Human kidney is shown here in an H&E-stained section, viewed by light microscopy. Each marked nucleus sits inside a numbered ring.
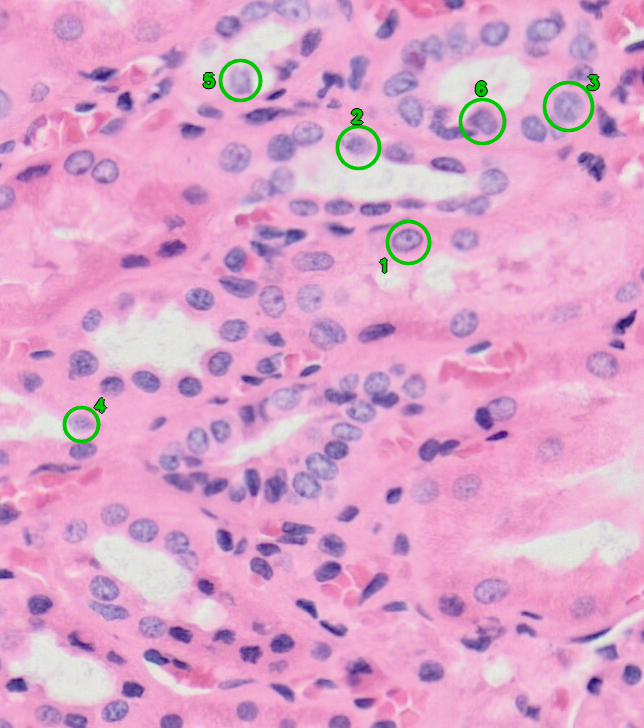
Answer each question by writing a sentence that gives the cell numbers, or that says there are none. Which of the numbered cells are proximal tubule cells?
Cell 1 is a proximal tubule cell, whereas each of the other numbered cells is not.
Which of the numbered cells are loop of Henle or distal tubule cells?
The cells referred to by numbers 2, 4 and 5 are loop of Henle or distal tubule cells.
